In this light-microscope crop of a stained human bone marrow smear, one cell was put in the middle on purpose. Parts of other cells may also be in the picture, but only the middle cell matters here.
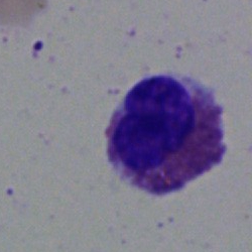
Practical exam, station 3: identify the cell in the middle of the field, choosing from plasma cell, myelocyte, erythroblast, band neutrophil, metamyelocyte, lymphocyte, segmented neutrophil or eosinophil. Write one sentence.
The crop's centre is taken up by an eosinophil.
